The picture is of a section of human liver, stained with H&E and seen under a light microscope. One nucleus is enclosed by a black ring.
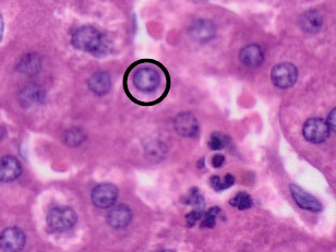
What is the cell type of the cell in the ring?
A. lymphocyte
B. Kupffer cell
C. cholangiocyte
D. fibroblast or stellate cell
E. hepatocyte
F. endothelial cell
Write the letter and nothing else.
E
